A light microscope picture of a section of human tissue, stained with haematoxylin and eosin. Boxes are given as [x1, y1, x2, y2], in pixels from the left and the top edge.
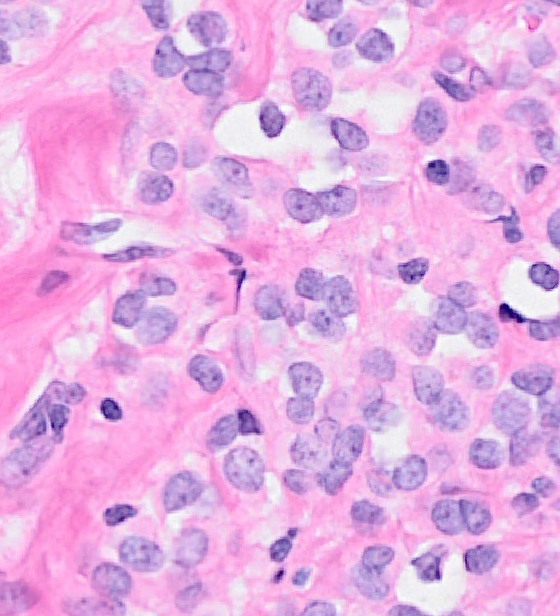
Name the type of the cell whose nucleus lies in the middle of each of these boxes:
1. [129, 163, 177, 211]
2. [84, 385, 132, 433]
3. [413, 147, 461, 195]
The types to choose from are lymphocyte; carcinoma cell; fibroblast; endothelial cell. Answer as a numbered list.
1. carcinoma cell
2. lymphocyte
3. lymphocyte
